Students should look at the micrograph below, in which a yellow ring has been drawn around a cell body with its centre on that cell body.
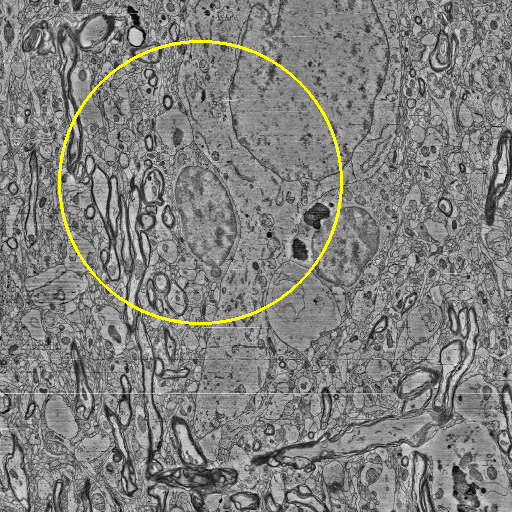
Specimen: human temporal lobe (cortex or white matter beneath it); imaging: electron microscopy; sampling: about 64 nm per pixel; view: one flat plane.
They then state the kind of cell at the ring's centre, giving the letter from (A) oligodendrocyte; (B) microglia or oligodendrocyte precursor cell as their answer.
A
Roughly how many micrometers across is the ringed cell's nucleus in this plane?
In this plane the nucleus is clearly longer than it is wide, at approximately 7 by 3 micrometres.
